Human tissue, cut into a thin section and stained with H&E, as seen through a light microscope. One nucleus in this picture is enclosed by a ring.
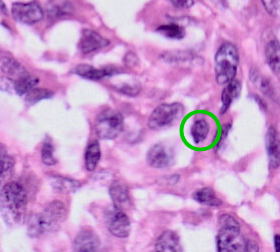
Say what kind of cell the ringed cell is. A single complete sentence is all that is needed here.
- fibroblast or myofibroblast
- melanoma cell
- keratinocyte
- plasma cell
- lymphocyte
Considered by cell type, the ringed cell is a melanoma cell.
